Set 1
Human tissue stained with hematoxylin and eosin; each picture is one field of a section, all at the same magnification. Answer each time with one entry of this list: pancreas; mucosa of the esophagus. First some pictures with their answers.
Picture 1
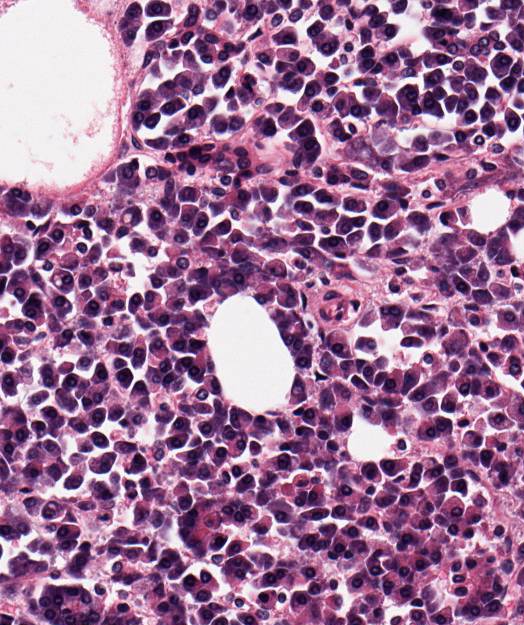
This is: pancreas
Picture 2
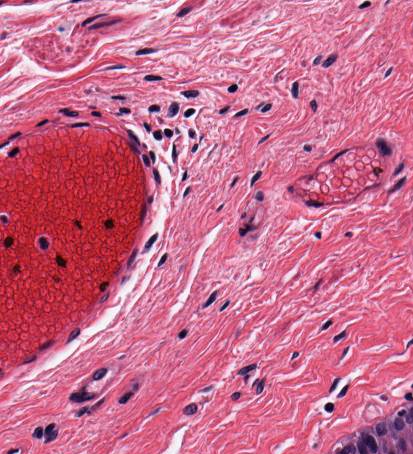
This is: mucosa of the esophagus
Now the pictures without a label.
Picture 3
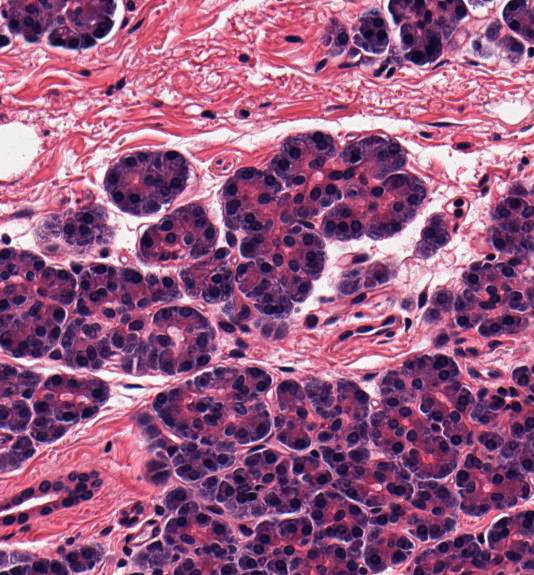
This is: pancreas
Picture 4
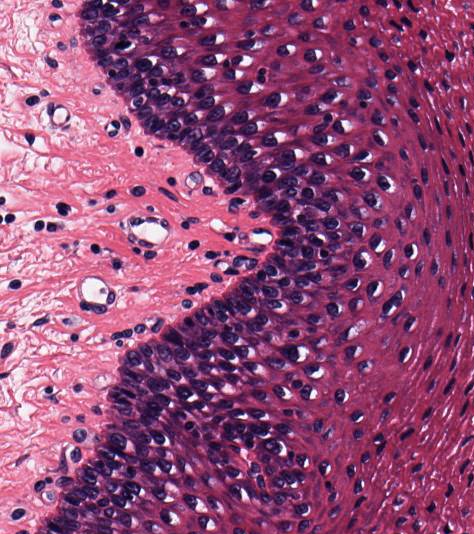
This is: mucosa of the esophagus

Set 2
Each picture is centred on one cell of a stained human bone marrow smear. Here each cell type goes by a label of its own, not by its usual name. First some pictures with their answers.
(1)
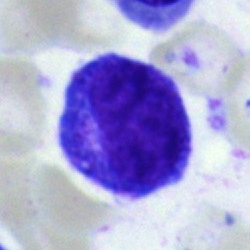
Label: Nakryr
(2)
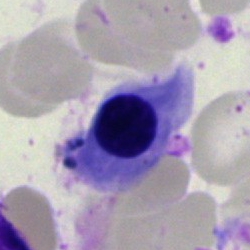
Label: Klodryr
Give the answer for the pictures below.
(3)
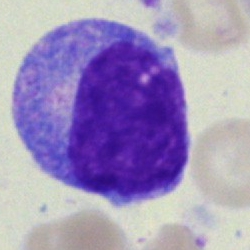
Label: Nakryr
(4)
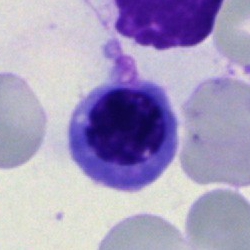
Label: Klodryr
